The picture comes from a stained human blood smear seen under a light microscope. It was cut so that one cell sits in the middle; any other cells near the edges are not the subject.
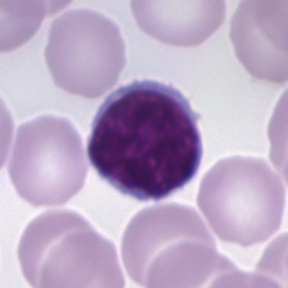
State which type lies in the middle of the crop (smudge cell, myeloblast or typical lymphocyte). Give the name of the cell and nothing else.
typical lymphocyte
